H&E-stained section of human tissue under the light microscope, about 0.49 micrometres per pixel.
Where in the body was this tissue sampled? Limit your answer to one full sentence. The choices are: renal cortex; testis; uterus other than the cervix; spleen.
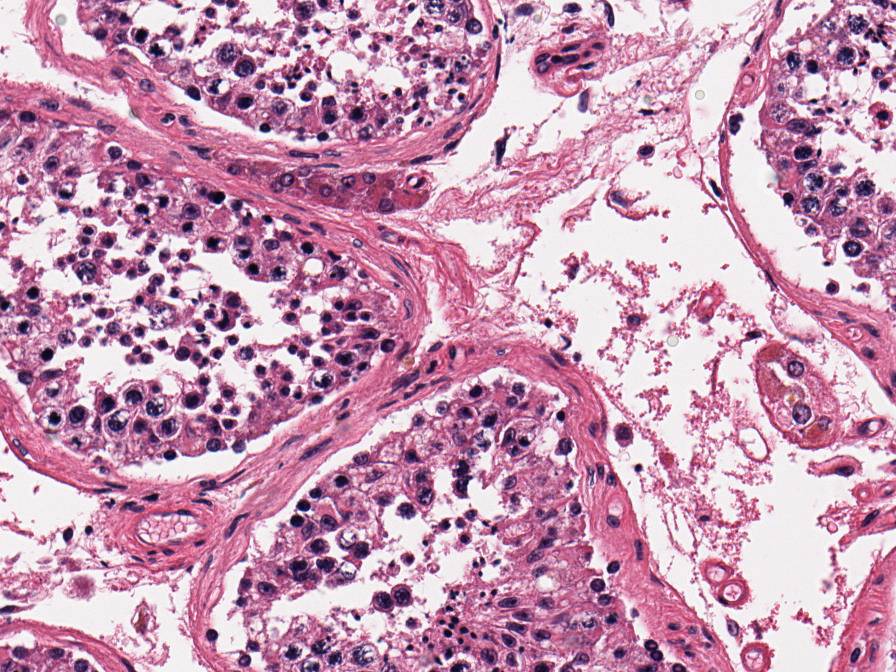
This sample of human tissue comes from the testis.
